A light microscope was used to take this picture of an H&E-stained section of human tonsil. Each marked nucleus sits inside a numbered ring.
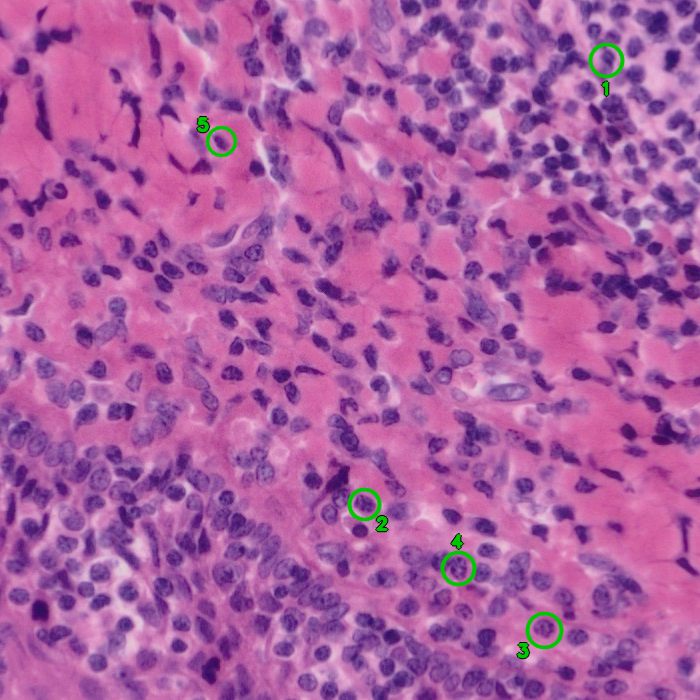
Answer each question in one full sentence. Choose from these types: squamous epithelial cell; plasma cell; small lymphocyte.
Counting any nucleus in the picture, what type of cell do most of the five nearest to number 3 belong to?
Plasma cells account for more than half of the five nuclei nearest to number 3.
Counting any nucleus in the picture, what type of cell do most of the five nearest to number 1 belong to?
Small lymphocytes account for more than half of the five nuclei nearest to number 1.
